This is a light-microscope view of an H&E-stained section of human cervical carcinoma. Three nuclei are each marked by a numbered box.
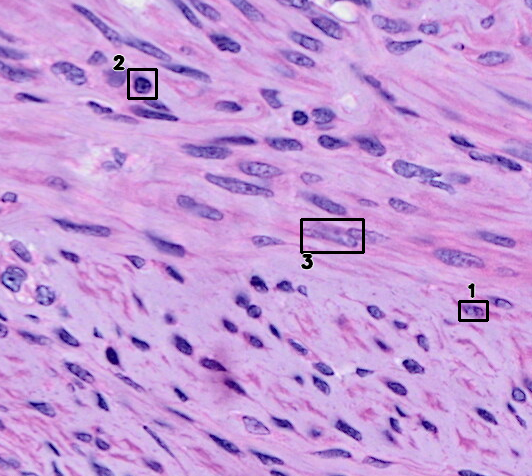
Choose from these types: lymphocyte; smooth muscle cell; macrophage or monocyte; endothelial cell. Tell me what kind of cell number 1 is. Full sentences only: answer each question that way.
The cell numbered 1 has been identified as a smooth muscle cell.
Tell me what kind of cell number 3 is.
It is as a smooth muscle cell that the cell numbered 3 is identified.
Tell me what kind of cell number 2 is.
In the marked set, the cell given number 2 is a lymphocyte.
